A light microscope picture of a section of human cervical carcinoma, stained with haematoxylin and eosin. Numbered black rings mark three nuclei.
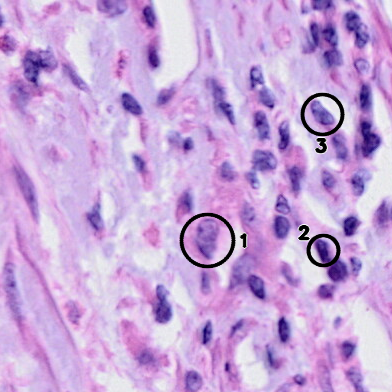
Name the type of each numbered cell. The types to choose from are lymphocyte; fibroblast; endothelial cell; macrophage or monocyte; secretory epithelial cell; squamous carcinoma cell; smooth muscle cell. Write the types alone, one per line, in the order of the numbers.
endothelial cell
lymphocyte
lymphocyte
